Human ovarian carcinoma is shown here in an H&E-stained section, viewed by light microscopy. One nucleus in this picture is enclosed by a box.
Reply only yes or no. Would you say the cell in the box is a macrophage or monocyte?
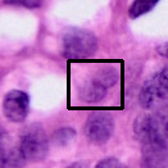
no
